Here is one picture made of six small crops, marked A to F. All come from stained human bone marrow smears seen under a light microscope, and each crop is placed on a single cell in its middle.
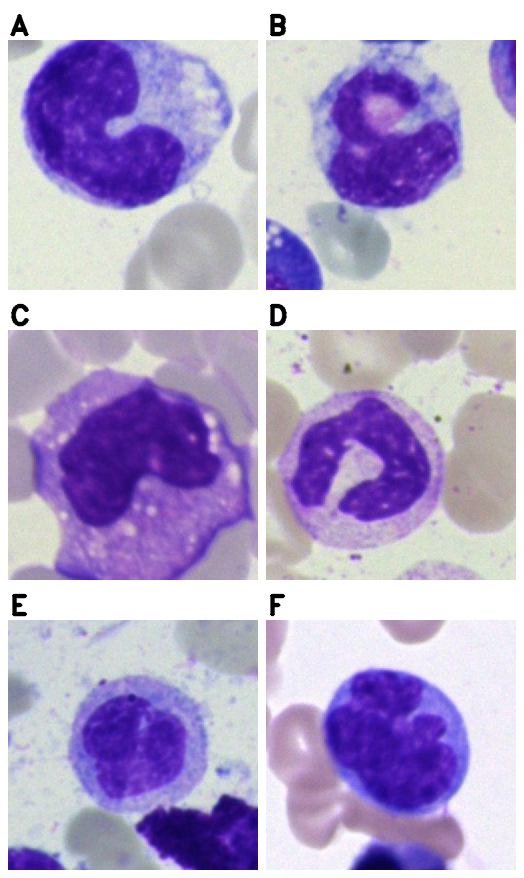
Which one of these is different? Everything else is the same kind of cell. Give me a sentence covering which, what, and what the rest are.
Where the others show monocytes, crop D shows a band neutrophil.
